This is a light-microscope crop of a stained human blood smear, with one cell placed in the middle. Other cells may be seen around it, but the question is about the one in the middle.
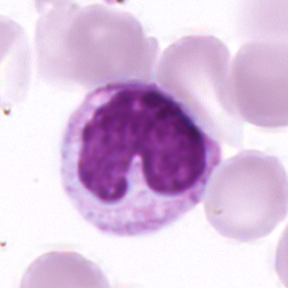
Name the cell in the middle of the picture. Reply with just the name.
band neutrophil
